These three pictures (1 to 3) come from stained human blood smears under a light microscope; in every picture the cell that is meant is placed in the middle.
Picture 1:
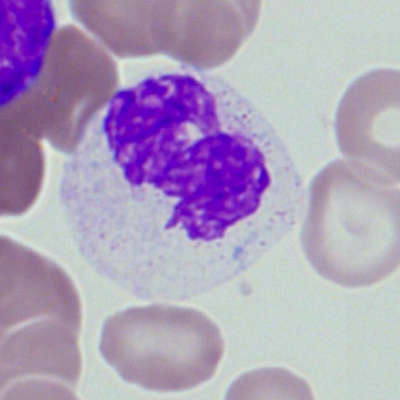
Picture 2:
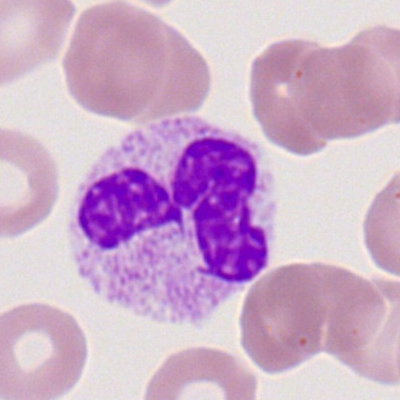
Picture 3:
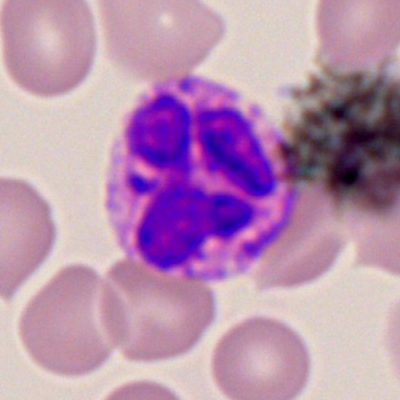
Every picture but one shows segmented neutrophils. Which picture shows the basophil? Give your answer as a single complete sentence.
Picture 3 is the one that shows the basophil.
